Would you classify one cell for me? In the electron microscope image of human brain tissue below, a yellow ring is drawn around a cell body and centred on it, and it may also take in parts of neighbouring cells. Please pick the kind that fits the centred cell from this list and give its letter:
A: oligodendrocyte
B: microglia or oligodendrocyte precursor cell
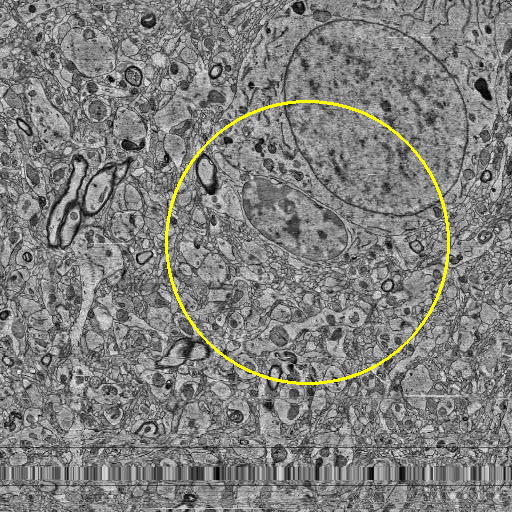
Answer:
B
